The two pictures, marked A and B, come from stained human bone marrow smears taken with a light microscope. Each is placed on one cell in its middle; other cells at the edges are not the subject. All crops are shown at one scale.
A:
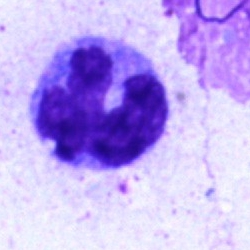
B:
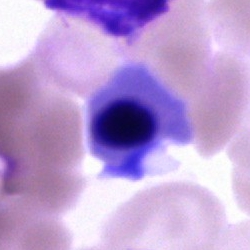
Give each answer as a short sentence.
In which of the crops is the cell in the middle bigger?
The cell in crop A is larger, with about 2 times the area of the one in crop B.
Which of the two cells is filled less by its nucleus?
The nucleus fills less of the cell in crop B than in crop A.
